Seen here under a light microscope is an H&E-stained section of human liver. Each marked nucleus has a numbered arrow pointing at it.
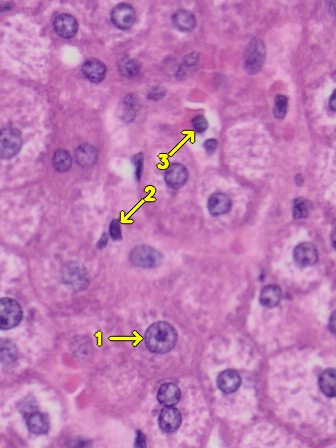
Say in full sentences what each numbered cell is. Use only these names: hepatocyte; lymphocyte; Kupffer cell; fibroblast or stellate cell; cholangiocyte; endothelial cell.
Cell 1 is a hepatocyte, cell 2 is a fibroblast or stellate cell and cell 3 is a lymphocyte.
